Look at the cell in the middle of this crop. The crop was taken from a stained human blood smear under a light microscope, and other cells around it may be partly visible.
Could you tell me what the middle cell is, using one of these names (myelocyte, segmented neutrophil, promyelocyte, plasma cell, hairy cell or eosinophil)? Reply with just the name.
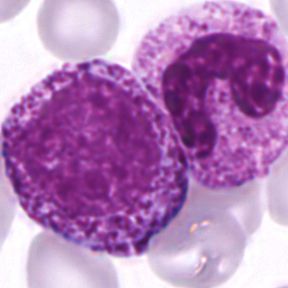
promyelocyte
